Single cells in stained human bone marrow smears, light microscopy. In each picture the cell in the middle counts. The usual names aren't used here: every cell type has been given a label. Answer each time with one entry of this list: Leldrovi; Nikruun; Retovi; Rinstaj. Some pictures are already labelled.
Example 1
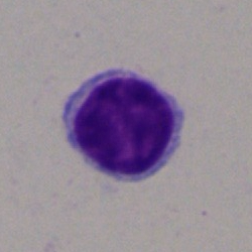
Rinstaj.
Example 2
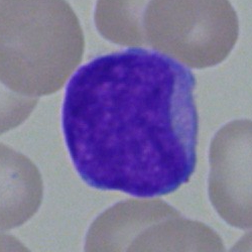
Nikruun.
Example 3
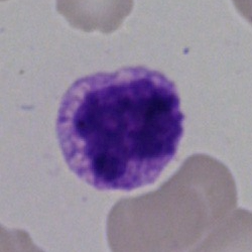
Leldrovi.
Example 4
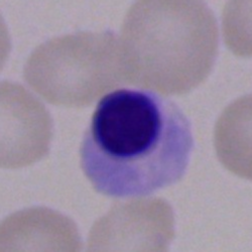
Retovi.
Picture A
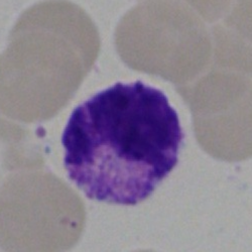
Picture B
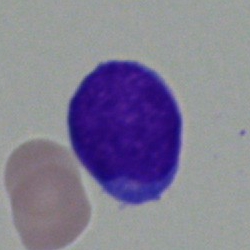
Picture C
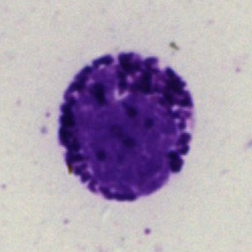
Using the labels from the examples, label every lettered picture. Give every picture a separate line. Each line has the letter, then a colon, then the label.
A: Leldrovi.
B: Nikruun.
C: Leldrovi.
